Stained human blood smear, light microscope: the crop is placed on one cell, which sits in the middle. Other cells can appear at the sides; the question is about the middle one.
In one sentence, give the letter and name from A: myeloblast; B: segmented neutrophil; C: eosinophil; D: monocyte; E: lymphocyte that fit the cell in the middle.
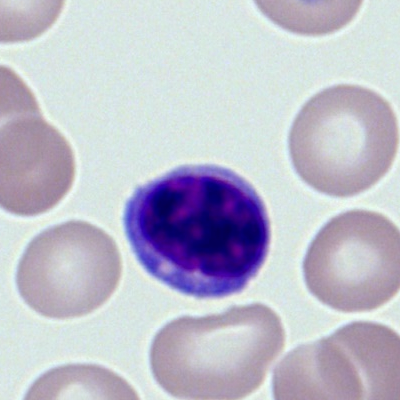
The middle of the crop contains a lymphocyte, so option E is right.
